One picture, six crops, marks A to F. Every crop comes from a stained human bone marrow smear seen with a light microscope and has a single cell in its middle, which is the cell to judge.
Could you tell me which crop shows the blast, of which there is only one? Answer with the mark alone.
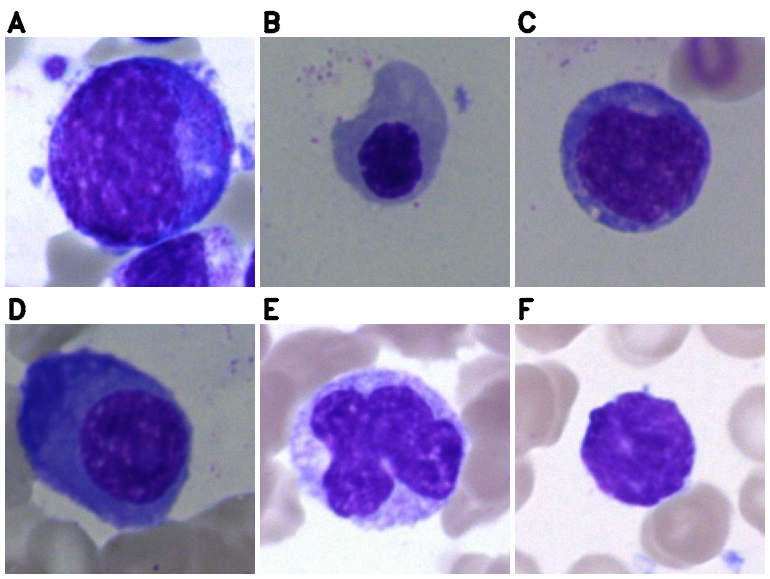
C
